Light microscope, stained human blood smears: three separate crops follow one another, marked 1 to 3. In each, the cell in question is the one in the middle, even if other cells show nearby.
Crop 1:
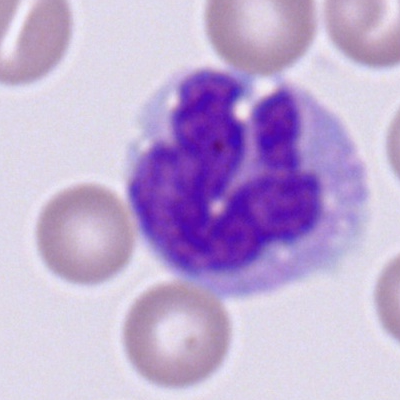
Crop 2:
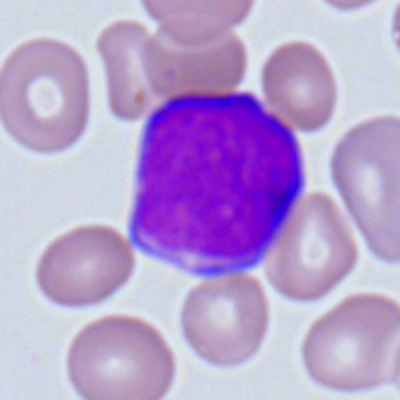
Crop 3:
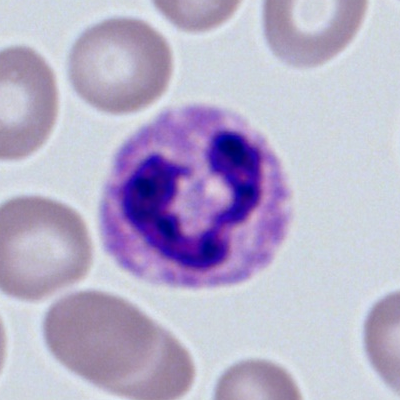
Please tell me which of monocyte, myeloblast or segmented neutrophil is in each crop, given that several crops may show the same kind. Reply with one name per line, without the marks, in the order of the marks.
monocyte
myeloblast
segmented neutrophil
